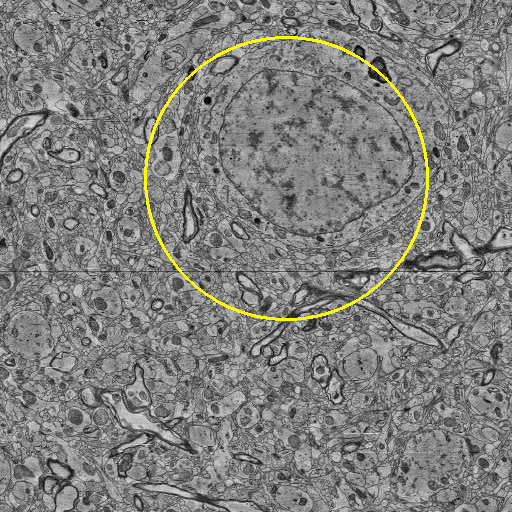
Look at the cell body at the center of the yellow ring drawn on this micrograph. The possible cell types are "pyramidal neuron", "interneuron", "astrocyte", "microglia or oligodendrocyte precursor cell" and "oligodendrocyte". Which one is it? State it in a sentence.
The cell in the middle of the ring is a pyramidal neuron.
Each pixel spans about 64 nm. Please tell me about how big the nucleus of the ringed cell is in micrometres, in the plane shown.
Roughly 13 micrometres by 11 micrometres, in this plane.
